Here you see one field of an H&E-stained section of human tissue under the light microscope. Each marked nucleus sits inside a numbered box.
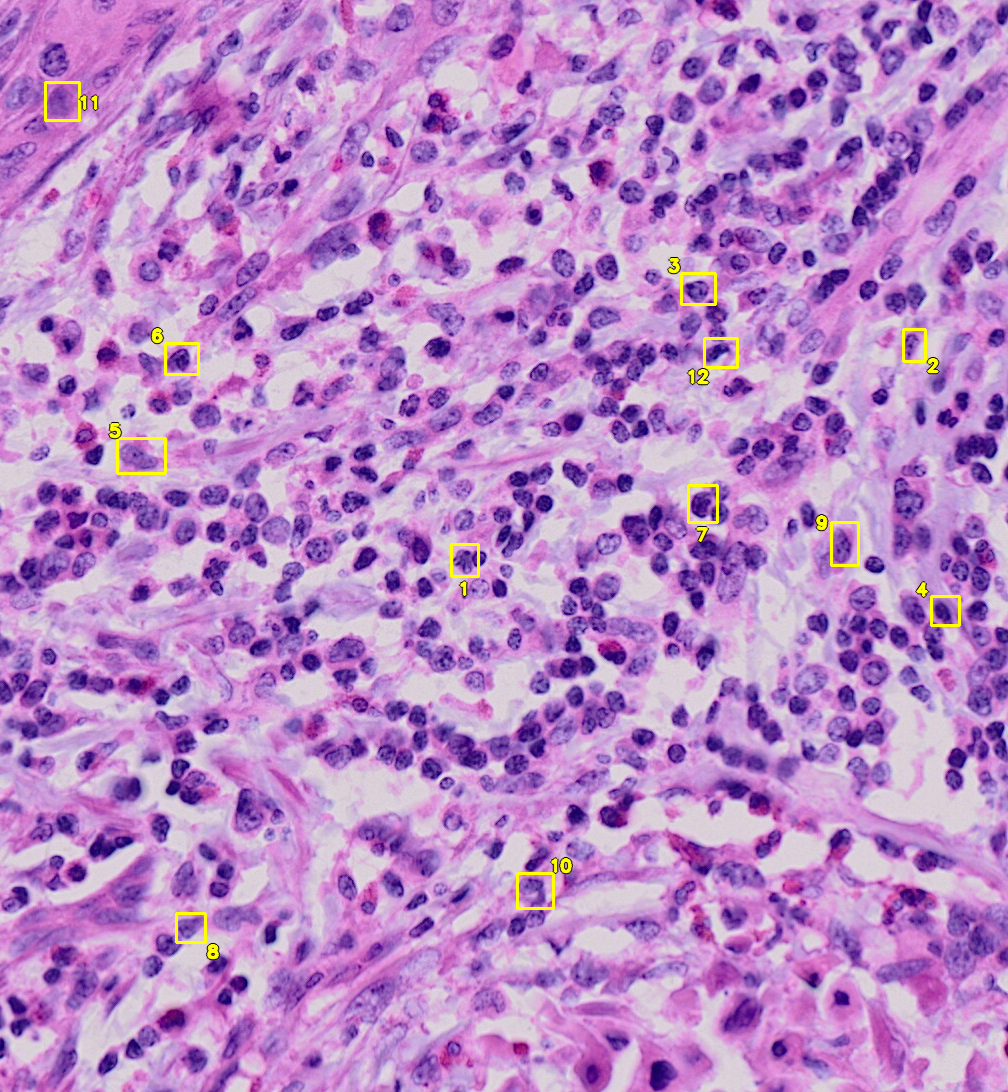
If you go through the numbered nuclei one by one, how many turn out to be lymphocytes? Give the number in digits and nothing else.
7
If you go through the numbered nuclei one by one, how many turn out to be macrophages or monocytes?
4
